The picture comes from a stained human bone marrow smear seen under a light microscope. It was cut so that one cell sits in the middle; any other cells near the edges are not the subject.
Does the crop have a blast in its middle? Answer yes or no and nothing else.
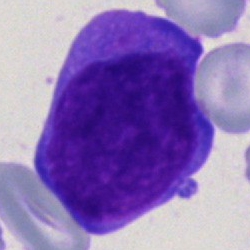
yes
